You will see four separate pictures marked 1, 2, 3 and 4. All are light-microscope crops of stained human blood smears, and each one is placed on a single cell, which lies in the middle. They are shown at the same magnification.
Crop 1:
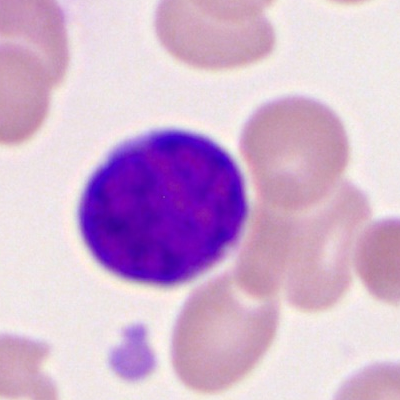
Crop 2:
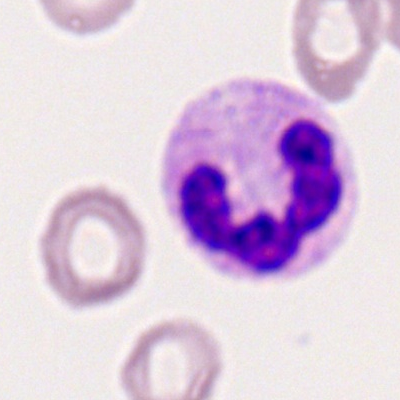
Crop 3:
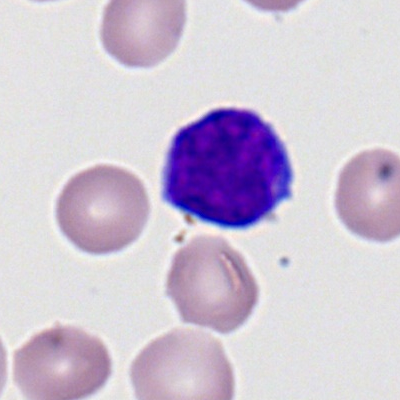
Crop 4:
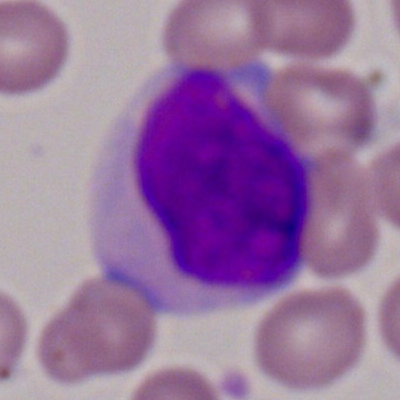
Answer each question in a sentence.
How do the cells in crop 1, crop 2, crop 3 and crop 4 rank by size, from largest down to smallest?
Largest first: 4, 2, 1, 3.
